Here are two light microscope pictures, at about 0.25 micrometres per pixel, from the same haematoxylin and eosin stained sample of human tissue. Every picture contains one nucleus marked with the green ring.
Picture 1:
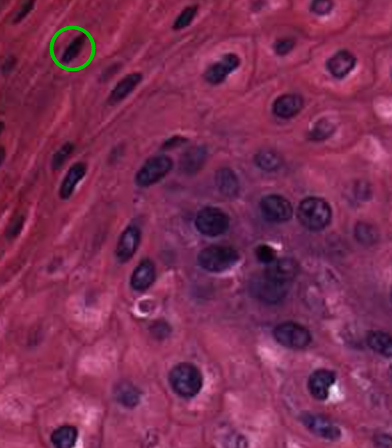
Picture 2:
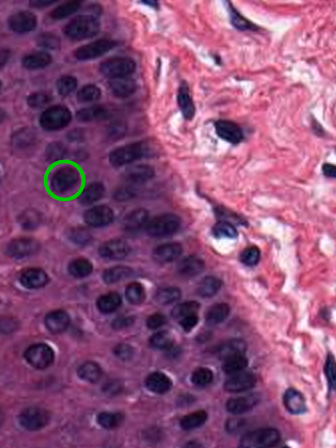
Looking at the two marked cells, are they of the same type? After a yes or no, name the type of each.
Yes, both are squamous epithelial cells.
